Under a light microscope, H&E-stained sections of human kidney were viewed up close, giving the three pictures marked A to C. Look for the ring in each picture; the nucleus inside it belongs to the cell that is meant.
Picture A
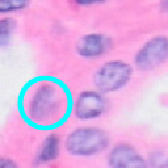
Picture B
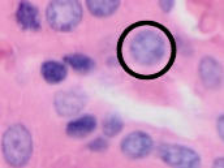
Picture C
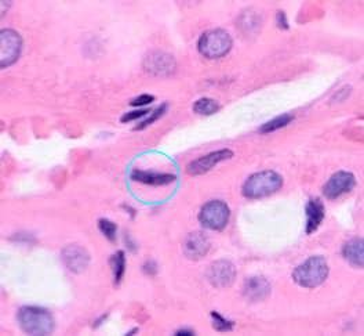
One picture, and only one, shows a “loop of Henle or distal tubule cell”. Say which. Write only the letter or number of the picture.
A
